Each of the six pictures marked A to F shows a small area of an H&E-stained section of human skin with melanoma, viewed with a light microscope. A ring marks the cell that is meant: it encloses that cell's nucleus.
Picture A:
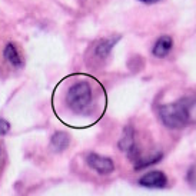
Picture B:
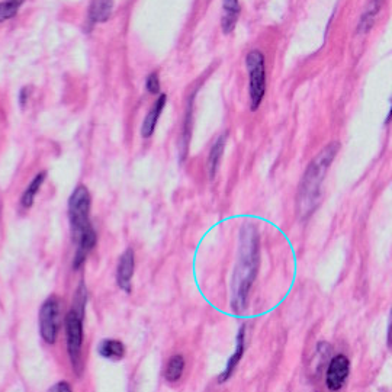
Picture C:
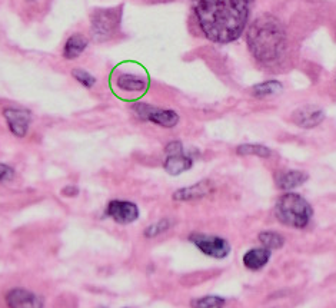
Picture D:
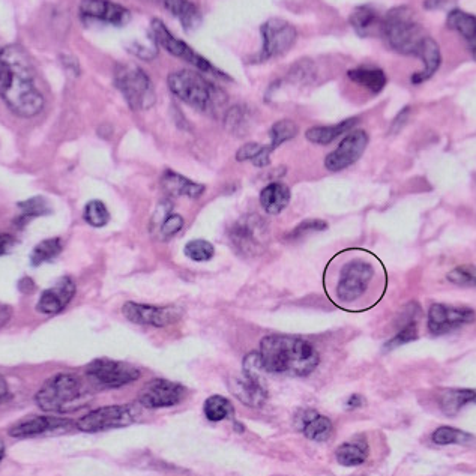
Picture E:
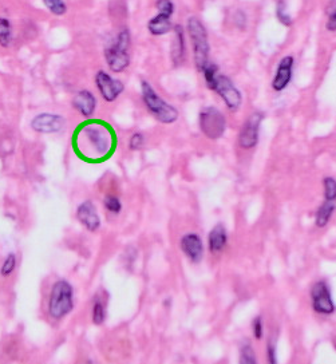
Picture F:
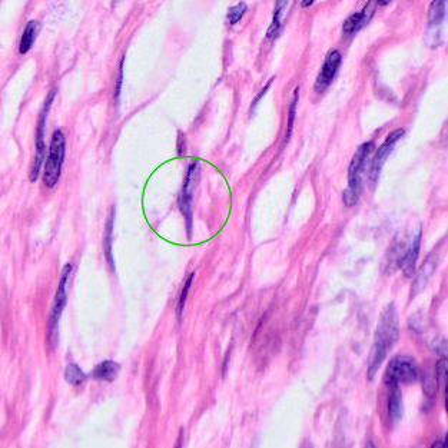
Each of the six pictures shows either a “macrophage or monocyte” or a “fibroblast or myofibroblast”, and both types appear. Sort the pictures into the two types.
A: macrophage or monocyte
B: fibroblast or myofibroblast
C: macrophage or monocyte
D: macrophage or monocyte
E: macrophage or monocyte
F: fibroblast or myofibroblast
